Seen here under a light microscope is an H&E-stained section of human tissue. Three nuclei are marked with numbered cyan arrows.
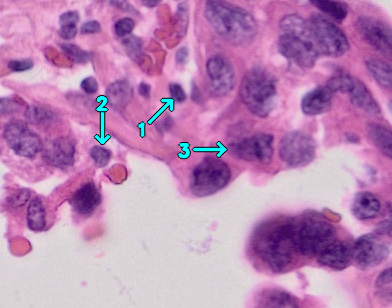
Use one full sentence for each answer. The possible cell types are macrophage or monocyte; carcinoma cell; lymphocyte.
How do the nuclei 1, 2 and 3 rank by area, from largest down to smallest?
Largest first, the order by area is 3, 2, 1.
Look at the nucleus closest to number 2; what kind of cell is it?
It is a carcinoma cell whose nucleus is nearest to number 2.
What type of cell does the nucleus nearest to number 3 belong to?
It is a carcinoma cell whose nucleus is nearest to number 3.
